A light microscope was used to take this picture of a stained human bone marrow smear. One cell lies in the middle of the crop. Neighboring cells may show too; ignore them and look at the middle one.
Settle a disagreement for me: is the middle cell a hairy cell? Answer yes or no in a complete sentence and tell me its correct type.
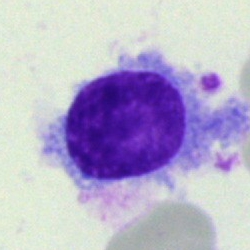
Yes, the cell at the middle is a hairy cell.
